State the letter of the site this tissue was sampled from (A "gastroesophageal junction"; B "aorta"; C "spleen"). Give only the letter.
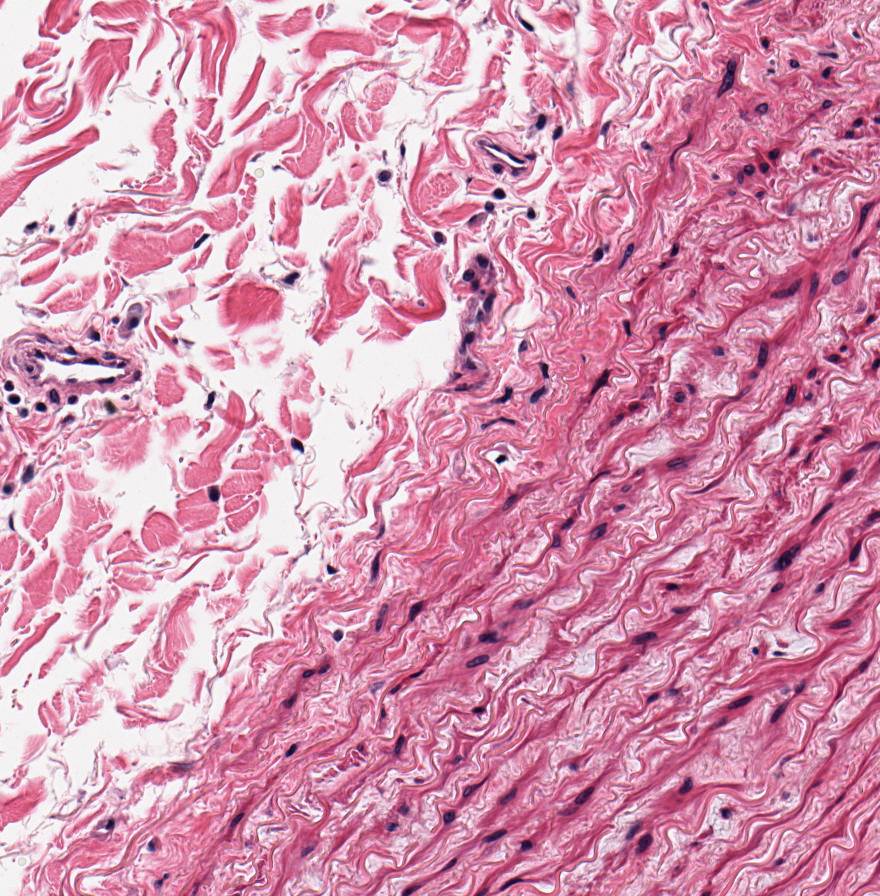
B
